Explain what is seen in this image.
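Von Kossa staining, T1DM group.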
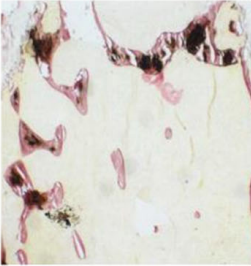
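Sparse, thin bone struts are scattered across a wide pale field. Most struts have pink to red edges, with patchy dark brown to black deposits within them.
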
